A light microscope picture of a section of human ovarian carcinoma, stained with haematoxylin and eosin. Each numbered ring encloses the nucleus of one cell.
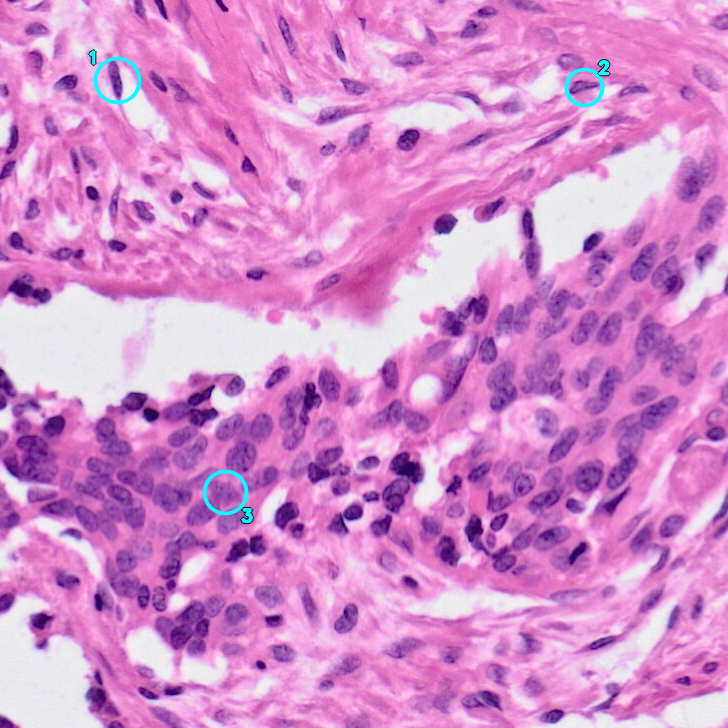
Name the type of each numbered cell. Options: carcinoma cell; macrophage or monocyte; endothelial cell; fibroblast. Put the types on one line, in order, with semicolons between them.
fibroblast; fibroblast; carcinoma cell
